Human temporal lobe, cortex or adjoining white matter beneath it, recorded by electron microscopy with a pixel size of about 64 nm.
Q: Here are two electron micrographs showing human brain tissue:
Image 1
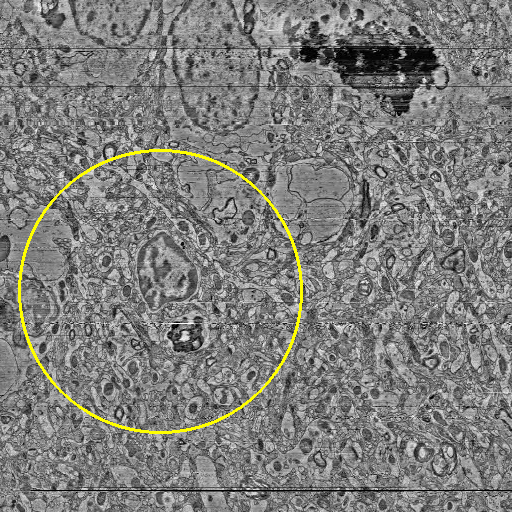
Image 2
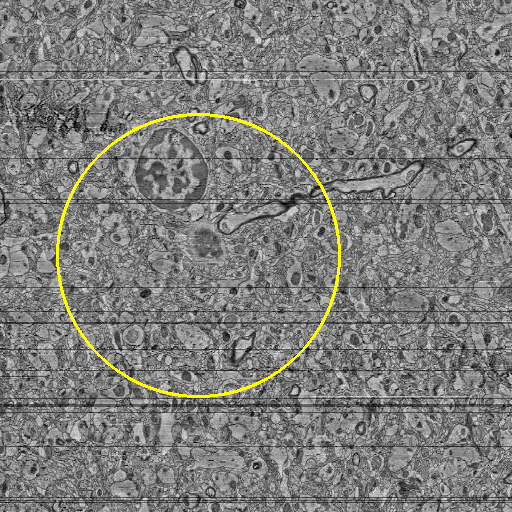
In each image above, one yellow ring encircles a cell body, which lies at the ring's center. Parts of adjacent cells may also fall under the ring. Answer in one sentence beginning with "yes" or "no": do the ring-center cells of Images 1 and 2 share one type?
No, in Images 1 and 2, the ring-center cells are of two types.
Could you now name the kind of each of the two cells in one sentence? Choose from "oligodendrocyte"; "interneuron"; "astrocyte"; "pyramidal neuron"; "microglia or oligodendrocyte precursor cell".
The first ring encloses a microglial cell or oligodendrocyte precursor cell; the second ring encloses an oligodendrocyte.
